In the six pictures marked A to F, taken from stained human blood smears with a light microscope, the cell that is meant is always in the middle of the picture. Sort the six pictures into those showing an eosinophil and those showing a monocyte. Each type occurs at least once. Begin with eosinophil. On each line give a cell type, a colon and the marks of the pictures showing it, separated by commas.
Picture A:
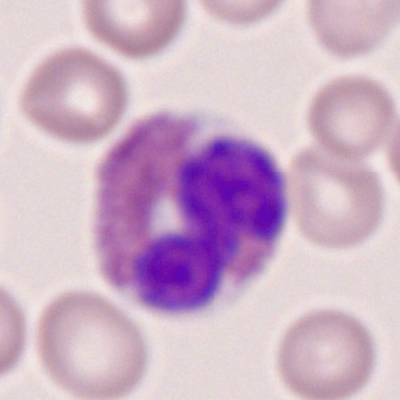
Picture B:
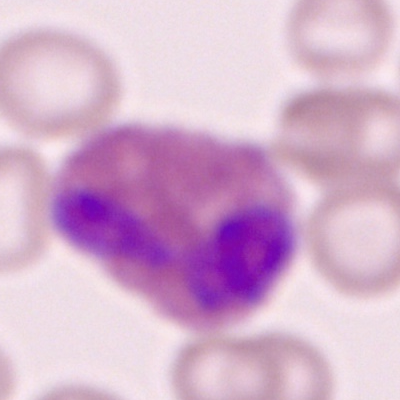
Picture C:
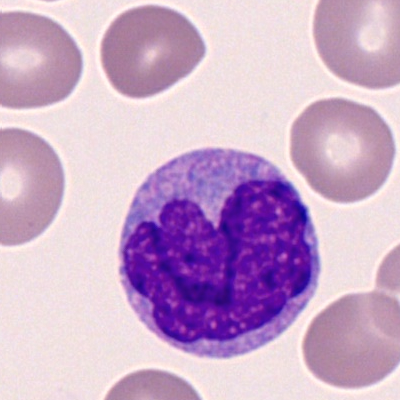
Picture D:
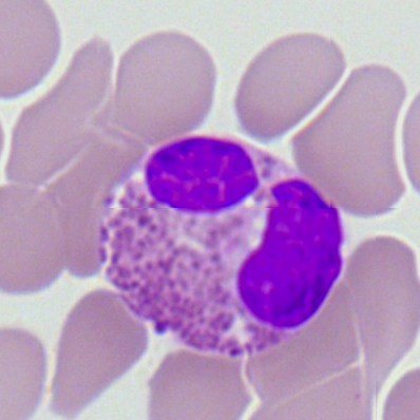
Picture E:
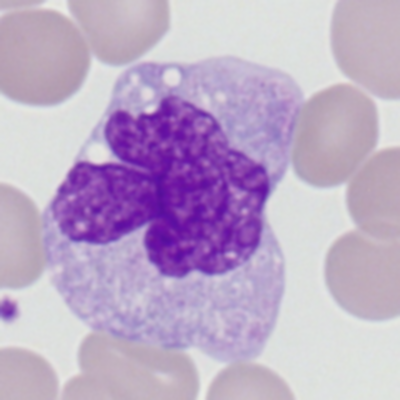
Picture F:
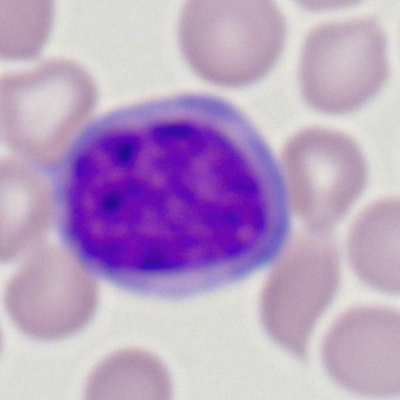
eosinophil: A, B, D
monocyte: C, E, F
